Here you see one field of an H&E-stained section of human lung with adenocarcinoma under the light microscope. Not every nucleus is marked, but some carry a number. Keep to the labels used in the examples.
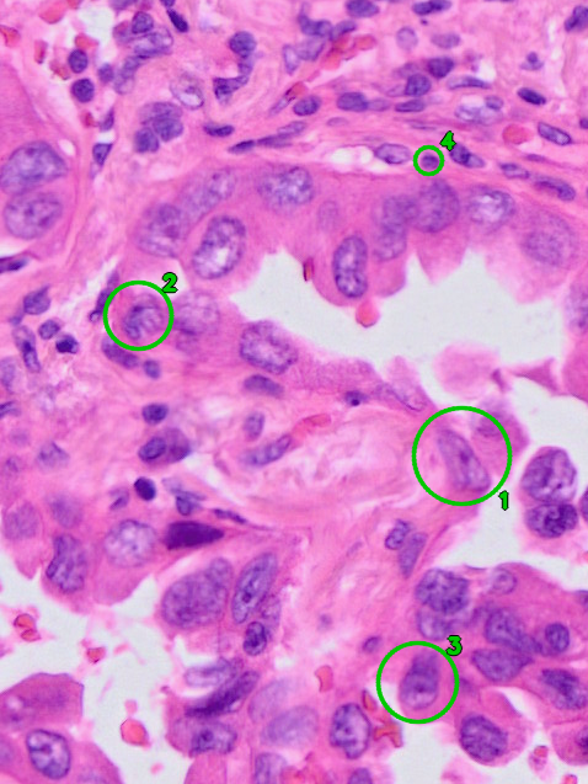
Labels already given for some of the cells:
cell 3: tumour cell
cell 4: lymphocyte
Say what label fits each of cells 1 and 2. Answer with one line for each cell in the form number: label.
1: tumour cell
2: tumour cell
